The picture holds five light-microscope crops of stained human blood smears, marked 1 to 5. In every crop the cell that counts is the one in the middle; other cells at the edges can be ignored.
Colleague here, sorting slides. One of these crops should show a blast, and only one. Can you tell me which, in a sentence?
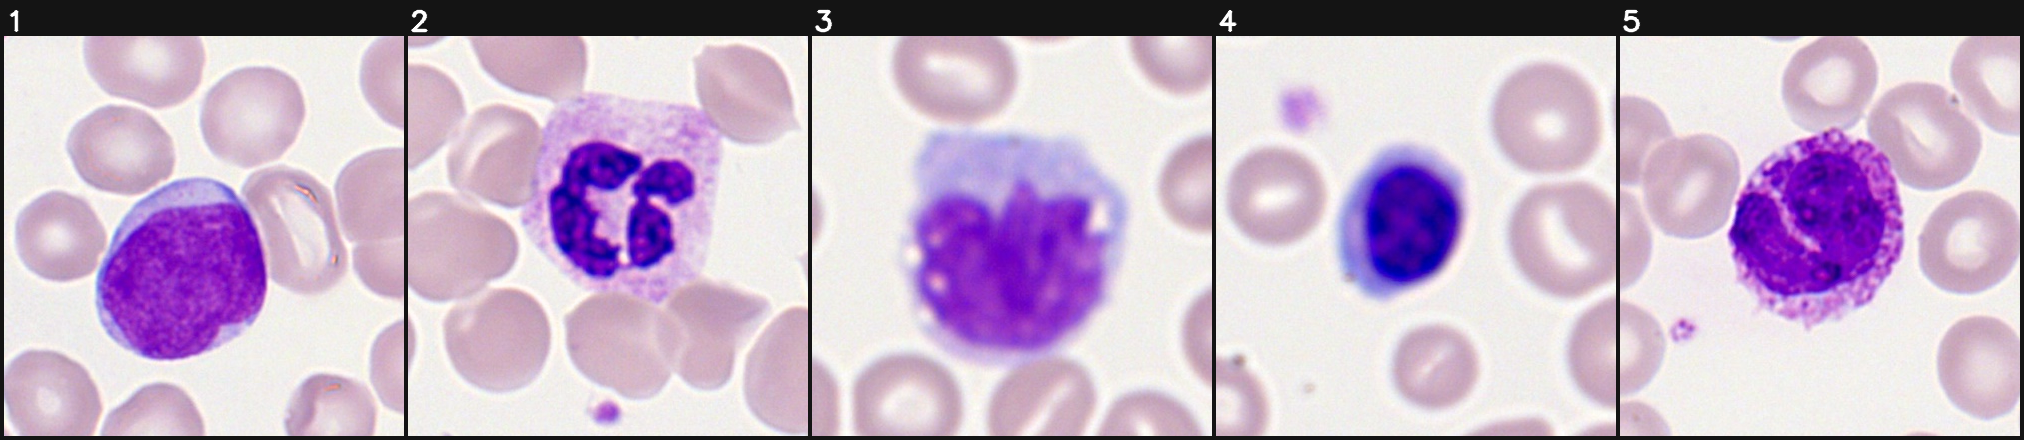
Look at crop 1; that is the one with a blast in its center.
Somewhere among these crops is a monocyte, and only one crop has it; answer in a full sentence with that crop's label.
The crop with a monocyte at its center is crop 3.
